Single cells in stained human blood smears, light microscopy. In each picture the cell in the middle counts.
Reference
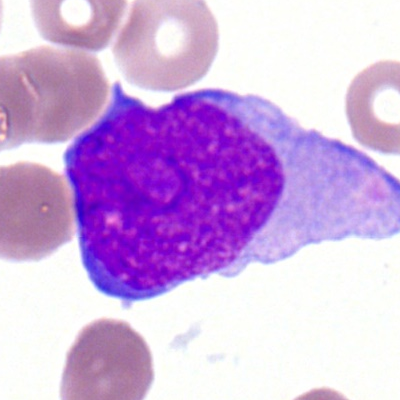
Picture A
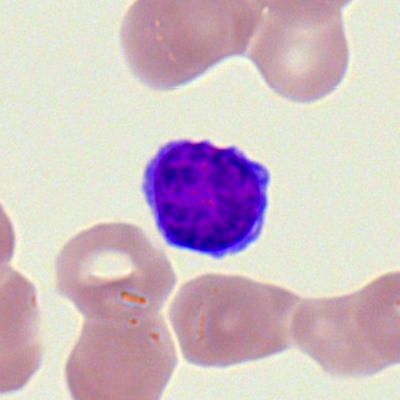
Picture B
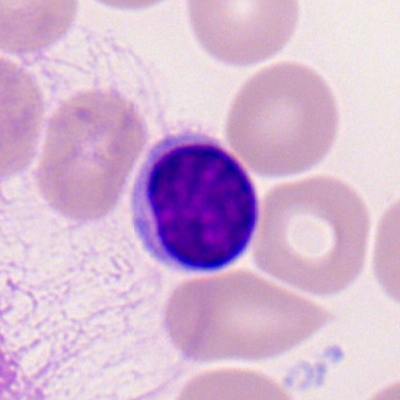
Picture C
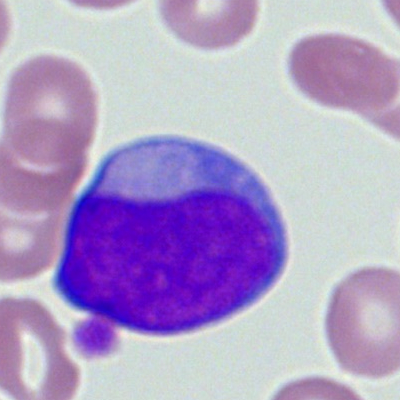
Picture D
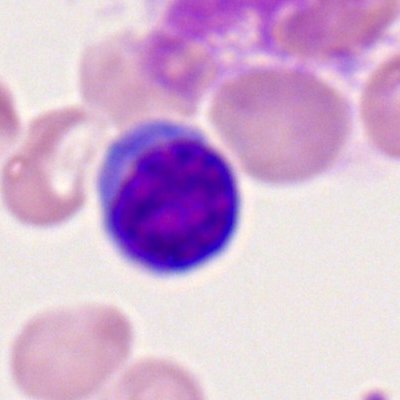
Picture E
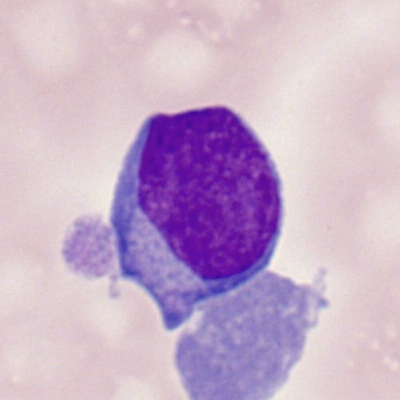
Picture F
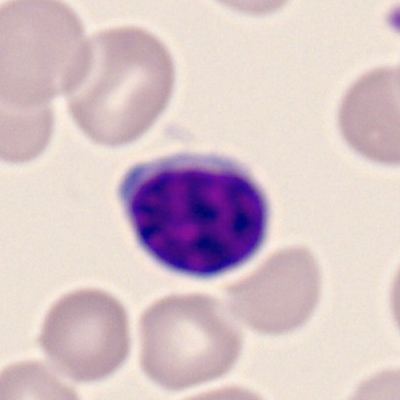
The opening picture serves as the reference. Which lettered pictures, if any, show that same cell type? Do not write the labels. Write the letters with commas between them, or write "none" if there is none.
C, E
